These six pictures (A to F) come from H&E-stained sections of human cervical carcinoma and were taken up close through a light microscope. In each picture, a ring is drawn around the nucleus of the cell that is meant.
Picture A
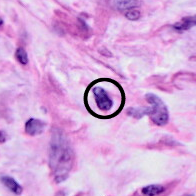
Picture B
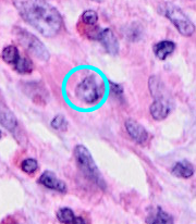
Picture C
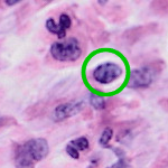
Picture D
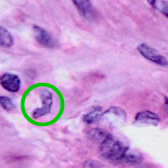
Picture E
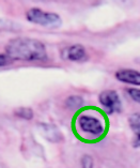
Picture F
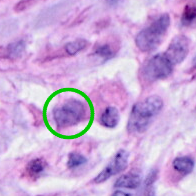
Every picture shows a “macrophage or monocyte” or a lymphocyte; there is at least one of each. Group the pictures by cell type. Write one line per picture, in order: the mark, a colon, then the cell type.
A: lymphocyte
B: macrophage or monocyte
C: lymphocyte
D: macrophage or monocyte
E: lymphocyte
F: macrophage or monocyte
